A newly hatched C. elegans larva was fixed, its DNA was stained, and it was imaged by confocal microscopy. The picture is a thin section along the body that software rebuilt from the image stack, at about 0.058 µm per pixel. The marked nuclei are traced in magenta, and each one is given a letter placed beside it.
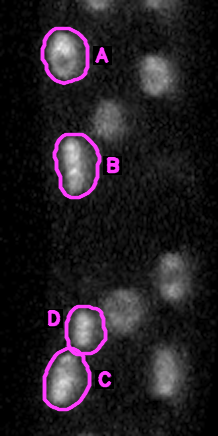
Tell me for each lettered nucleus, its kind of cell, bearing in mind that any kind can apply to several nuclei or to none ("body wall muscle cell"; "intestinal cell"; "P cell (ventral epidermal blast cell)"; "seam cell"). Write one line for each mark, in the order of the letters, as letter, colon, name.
A: seam cell
B: P cell (ventral epidermal blast cell)
C: P cell (ventral epidermal blast cell)
D: body wall muscle cell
